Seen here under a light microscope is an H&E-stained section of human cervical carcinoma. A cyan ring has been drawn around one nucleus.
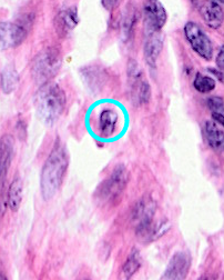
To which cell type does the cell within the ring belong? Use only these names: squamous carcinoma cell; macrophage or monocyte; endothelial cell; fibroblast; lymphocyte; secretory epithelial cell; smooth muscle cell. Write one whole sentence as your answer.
The identity of the cell within the ring: it is a macrophage or monocyte.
